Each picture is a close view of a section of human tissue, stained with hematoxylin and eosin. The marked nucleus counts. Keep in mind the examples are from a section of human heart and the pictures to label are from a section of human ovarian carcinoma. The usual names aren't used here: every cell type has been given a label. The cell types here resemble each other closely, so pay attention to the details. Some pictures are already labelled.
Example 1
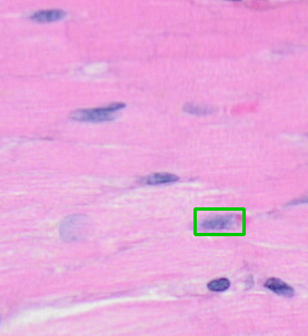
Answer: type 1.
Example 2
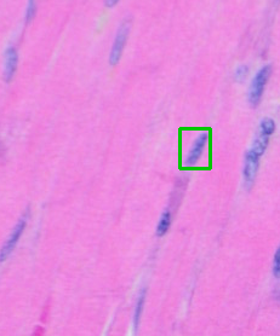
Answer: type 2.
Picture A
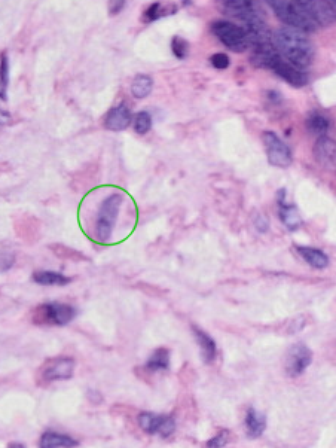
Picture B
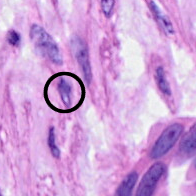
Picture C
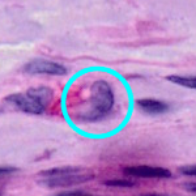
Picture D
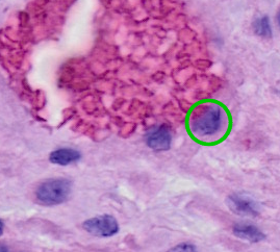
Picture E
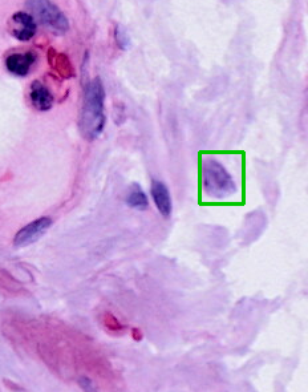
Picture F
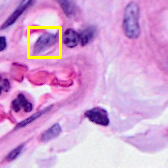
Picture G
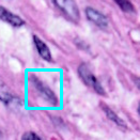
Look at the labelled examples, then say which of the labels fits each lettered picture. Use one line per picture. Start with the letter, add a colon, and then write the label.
A: type 2.
B: type 2.
C: type 1.
D: type 1.
E: type 2.
F: type 1.
G: type 2.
